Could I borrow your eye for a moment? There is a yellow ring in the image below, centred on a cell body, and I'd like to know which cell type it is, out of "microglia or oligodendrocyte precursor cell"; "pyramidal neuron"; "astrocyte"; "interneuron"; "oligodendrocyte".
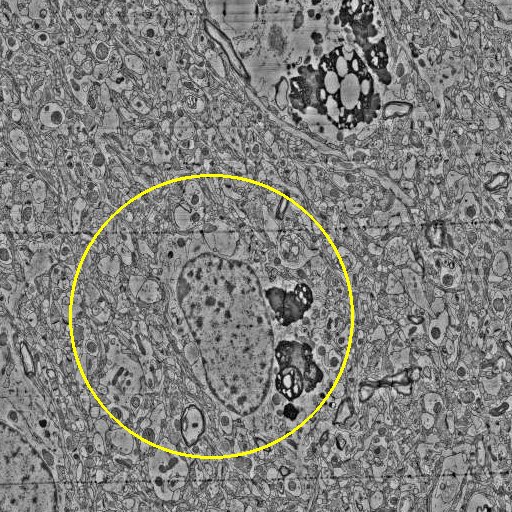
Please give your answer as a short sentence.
The cell body at the centre is that of an astrocyte.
